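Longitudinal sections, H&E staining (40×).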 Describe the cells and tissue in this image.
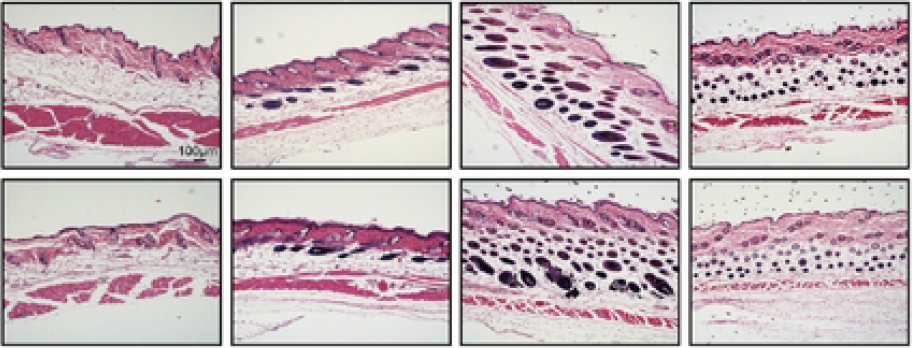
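Eight low-magnification sections of skin, each showing the full thickness of the skin from surface to underlying muscle. At the top lies a thin, purple-stained epidermis. Beneath it is a pale pink, loosely textured dermis, and deeper down are bands of bright red skeletal muscle. In some images the dermis holds few structures. In others it is crowded with many dark purple, round to oval profiles of hair follicles, cut across and lined up in rows within the dermis and the tissue below it. The thickness of the dermal layer differs visibly between the images.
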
